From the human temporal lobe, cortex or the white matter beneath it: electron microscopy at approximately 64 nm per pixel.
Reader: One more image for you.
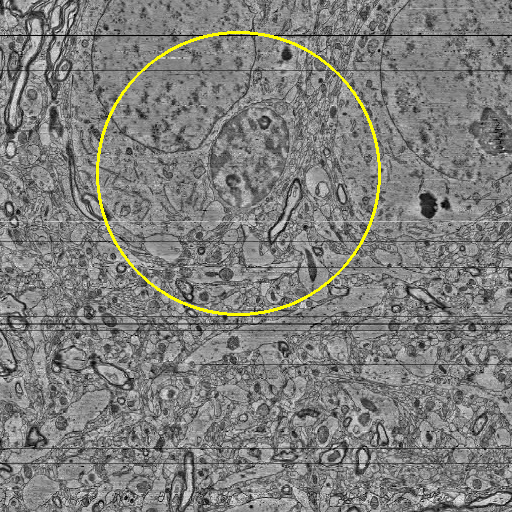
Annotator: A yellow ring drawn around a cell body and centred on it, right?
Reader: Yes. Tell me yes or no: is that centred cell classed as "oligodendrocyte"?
yes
